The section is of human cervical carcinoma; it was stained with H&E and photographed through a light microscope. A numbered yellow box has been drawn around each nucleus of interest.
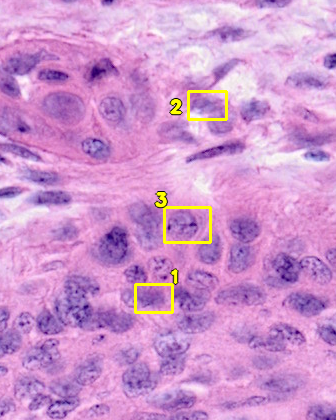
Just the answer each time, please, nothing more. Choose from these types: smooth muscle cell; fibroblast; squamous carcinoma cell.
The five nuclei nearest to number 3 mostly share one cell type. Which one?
squamous carcinoma cell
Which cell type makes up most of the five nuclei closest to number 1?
squamous carcinoma cell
